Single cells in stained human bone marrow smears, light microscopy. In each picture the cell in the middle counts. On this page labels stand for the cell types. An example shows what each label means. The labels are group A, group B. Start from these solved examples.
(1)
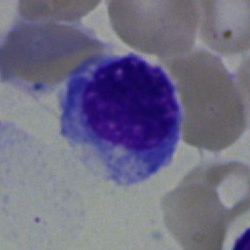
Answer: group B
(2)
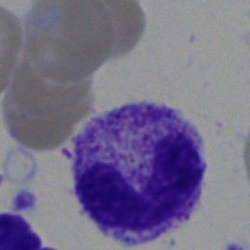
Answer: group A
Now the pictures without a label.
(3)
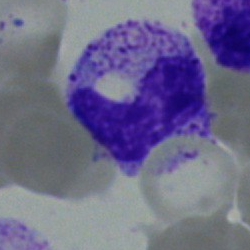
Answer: group A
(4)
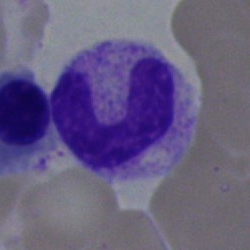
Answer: group A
